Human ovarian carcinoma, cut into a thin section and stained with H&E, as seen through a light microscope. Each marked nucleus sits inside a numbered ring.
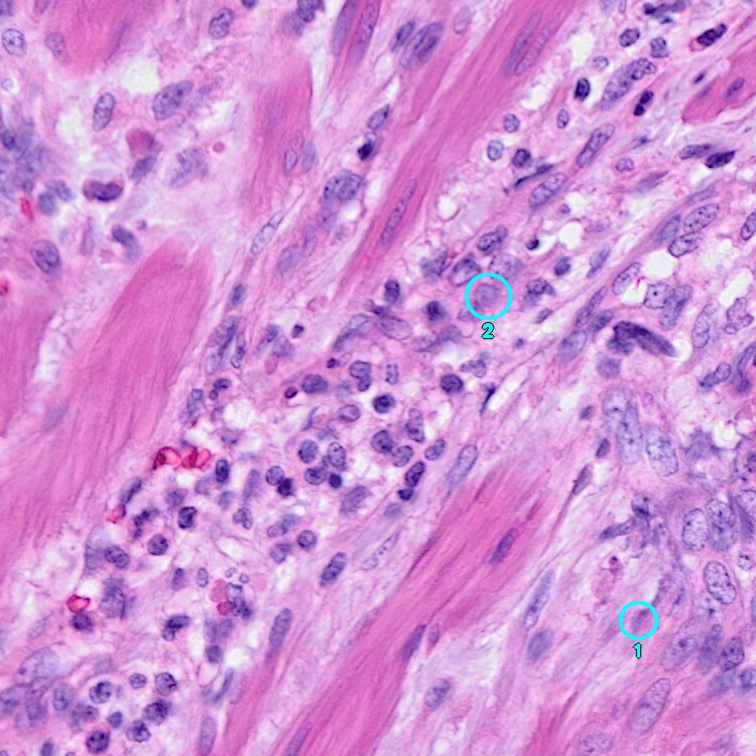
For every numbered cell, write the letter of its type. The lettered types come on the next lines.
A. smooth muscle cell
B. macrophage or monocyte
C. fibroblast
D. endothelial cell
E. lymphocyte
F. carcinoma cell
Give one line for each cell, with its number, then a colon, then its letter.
1: C
2: D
